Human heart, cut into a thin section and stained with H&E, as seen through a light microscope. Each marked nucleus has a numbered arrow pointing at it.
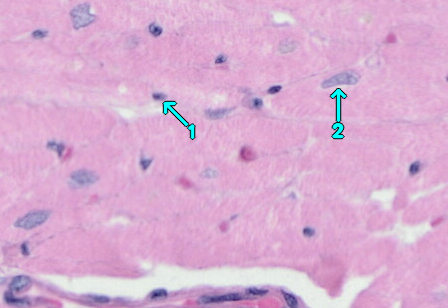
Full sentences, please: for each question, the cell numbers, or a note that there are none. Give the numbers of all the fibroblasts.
Honestly, none of the numbered cells are fibroblasts.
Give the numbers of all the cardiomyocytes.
There is just one numbered cell that is a cardiomyocyte, and it is cell 2.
